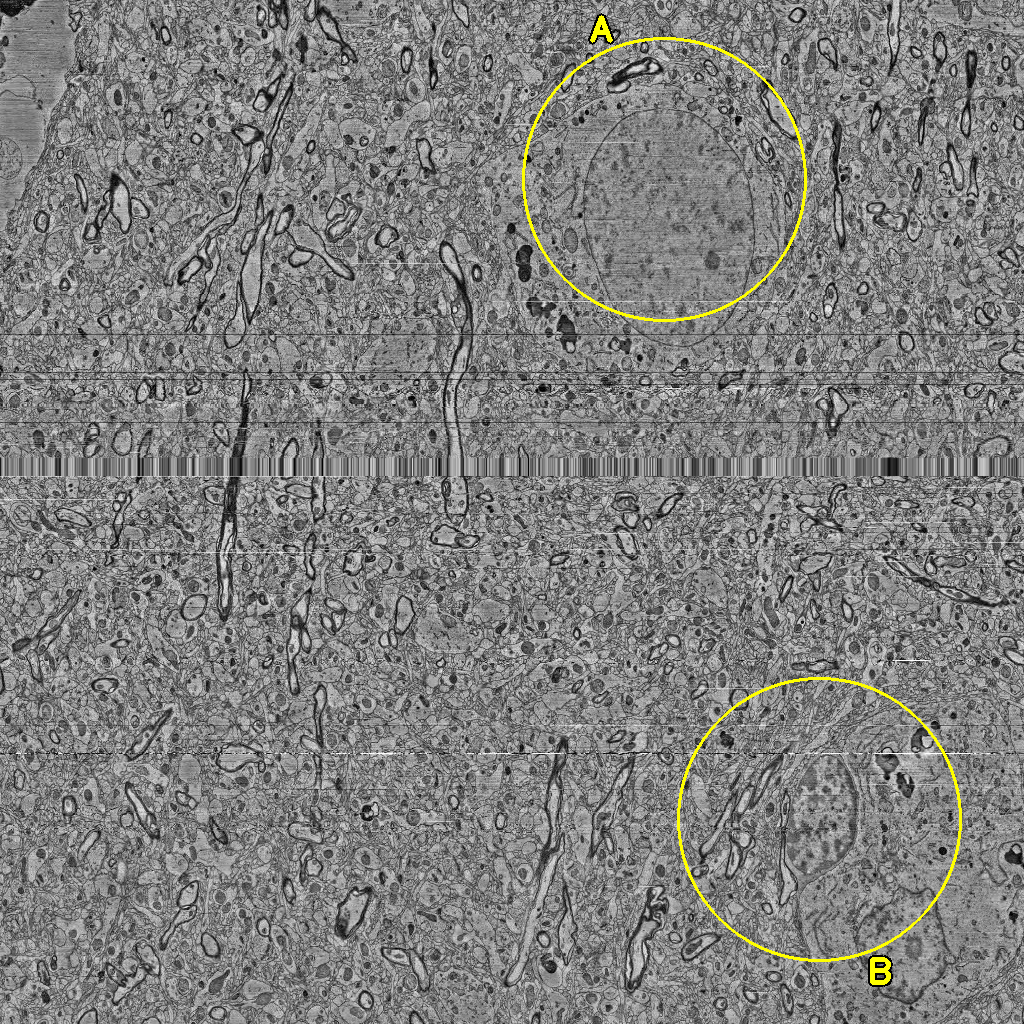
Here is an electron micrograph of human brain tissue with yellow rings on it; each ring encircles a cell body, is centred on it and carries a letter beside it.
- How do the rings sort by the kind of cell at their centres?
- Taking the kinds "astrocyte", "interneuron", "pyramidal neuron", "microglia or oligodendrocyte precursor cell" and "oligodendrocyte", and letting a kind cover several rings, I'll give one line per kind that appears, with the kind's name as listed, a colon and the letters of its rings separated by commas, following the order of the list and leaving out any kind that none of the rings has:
pyramidal neuron: A
oligodendrocyte: B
